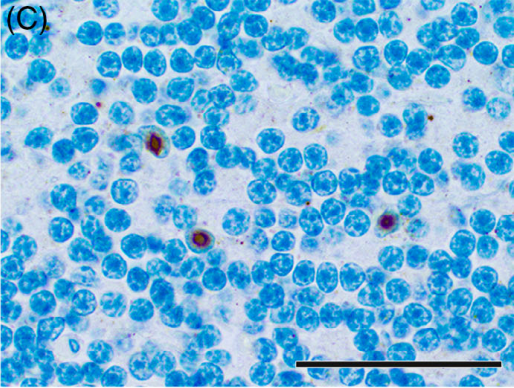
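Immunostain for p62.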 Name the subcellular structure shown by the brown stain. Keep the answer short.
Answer: Intranuclear inclusion bodies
